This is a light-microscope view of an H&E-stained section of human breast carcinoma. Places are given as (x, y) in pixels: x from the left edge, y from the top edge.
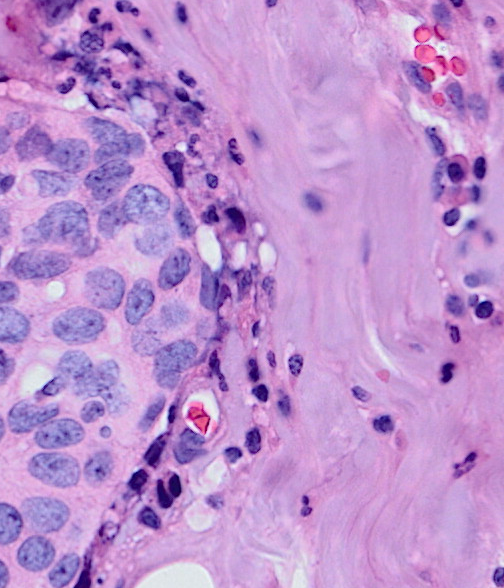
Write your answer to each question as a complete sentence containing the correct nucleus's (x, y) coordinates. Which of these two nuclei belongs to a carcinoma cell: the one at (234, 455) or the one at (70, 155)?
The nucleus at (70, 155) is identified as belonging to a carcinoma cell.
